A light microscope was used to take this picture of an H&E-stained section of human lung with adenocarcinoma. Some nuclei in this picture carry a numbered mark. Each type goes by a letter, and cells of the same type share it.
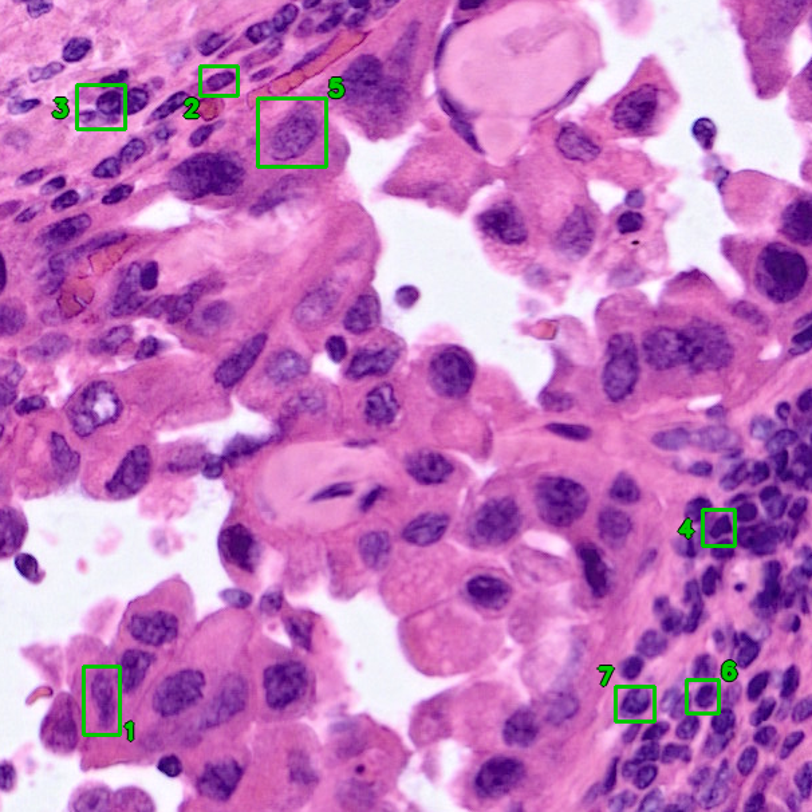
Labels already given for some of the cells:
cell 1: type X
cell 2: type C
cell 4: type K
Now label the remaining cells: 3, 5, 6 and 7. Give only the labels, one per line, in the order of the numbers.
type C
type X
type K
type K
